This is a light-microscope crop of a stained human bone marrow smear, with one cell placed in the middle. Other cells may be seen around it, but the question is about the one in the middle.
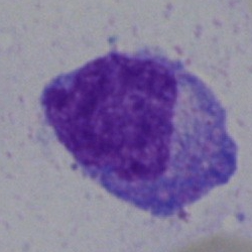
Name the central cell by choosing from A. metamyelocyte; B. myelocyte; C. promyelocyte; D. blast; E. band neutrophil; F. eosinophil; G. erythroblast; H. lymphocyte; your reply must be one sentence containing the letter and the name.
Correctly, option C names the cell in the middle a promyelocyte.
